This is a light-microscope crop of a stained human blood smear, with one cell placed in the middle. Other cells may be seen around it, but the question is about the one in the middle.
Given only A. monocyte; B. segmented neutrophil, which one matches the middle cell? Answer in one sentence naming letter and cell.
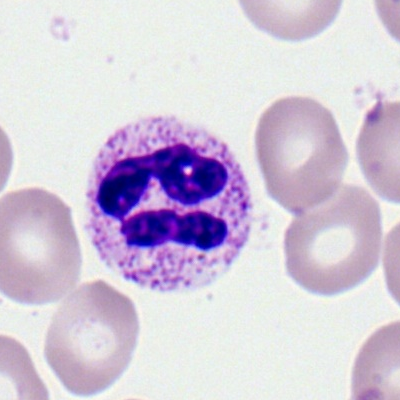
With the cell in the middle being a segmented neutrophil, option B is the correct choice.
